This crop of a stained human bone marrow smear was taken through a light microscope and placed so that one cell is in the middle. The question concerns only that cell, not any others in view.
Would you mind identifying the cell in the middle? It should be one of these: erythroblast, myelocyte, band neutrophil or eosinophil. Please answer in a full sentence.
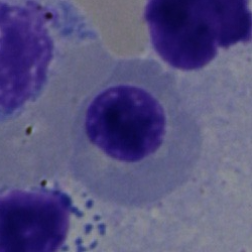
The target cell in the middle of the crop is an erythroblast.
